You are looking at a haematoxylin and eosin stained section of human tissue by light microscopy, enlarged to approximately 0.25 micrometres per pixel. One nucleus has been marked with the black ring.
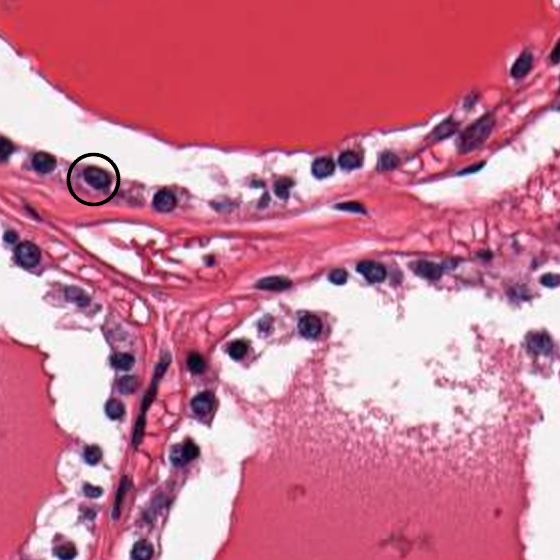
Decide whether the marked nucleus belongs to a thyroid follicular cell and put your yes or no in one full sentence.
Yes, the marked nucleus belongs to a thyroid follicular cell in this field.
